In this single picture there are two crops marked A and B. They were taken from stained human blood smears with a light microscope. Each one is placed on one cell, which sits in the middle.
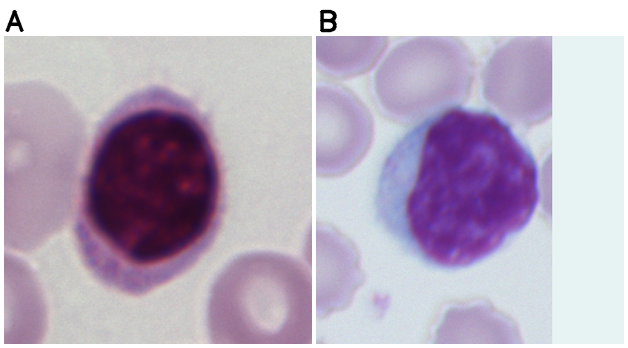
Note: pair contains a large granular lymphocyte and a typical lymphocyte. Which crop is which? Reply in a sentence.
Classification: crop A is a large granular lymphocyte, crop B is a typical lymphocyte.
